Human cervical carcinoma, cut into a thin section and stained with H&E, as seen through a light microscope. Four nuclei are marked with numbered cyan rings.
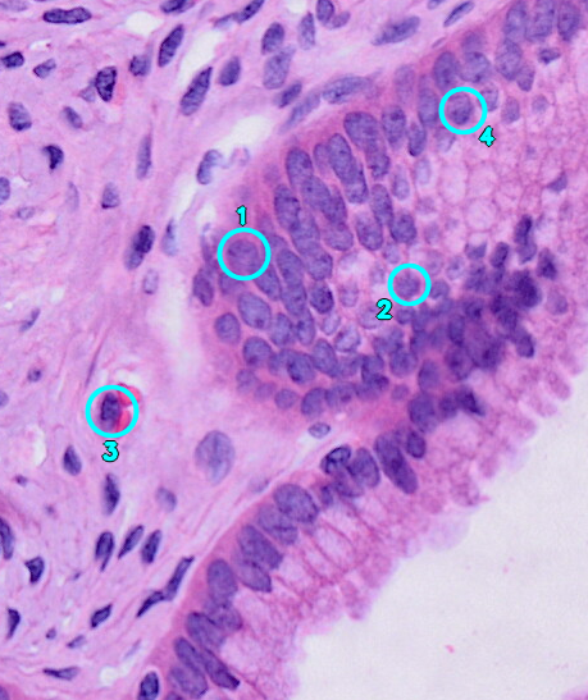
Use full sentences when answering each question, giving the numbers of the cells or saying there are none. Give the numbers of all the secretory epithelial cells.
The cells whose numbers are 1, 2 and 4 are secretory epithelial cells.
